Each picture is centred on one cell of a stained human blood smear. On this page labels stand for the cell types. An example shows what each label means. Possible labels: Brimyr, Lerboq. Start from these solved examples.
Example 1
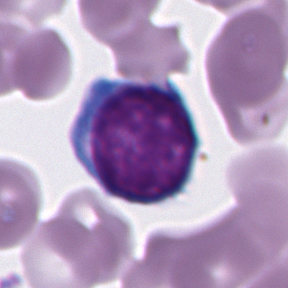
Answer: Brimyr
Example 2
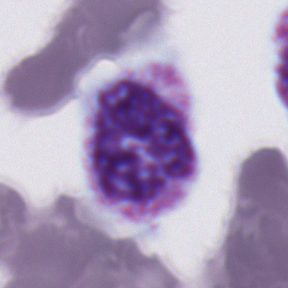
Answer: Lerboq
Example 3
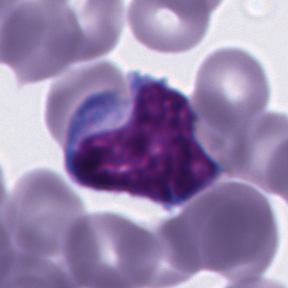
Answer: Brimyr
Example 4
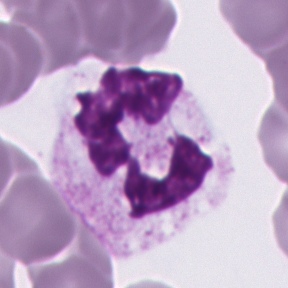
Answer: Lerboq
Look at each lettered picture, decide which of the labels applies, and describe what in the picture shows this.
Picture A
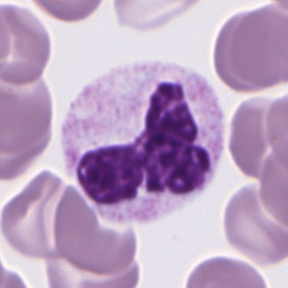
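Label: Lerboq. The cytoplasm is pale pink.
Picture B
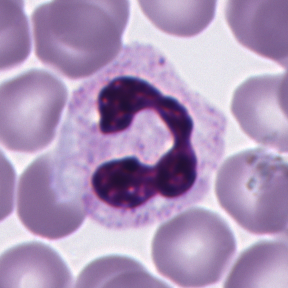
Label: Lerboq. The cytoplasm is plentiful and pale pinkish-lilac.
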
